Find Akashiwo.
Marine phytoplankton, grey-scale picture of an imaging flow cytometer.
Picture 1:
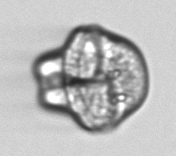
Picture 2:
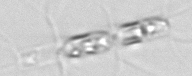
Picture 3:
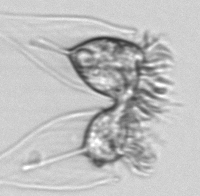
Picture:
1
